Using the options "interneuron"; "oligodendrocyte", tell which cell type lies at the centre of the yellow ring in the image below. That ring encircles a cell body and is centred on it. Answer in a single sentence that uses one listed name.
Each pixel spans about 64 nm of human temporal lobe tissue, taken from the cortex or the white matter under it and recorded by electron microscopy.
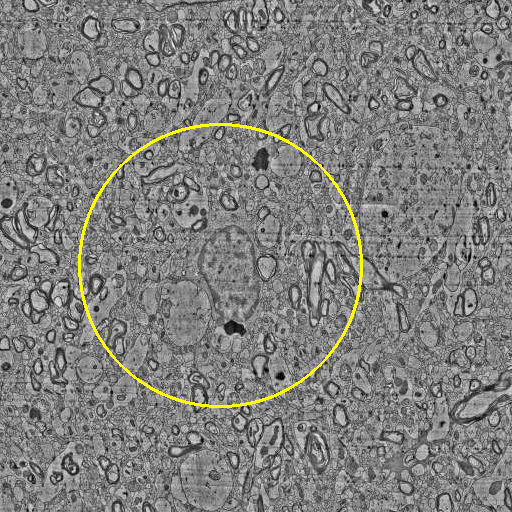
At the centre of the yellow ring lies the body of an oligodendrocyte.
